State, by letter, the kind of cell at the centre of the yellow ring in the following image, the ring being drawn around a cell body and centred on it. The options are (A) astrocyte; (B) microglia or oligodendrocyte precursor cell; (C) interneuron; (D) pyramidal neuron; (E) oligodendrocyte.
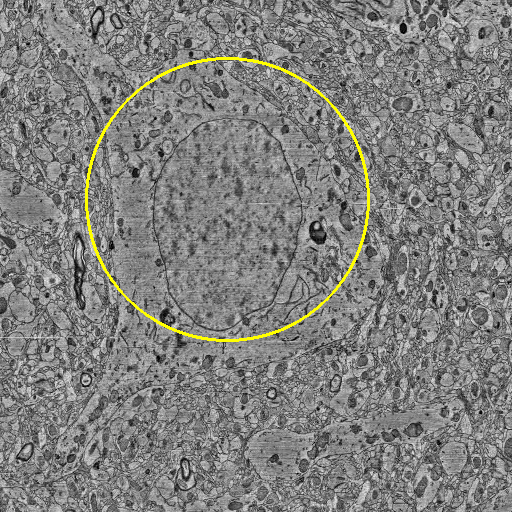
D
